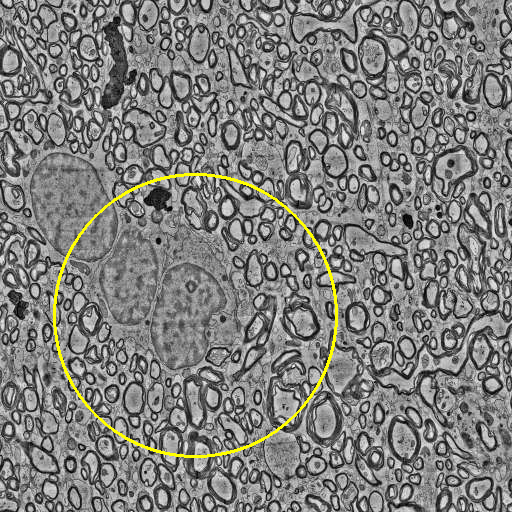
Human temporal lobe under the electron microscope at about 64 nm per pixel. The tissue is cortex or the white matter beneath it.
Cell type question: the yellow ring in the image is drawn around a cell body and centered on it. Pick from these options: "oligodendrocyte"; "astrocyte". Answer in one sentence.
The ringed cell at the center is an oligodendrocyte.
